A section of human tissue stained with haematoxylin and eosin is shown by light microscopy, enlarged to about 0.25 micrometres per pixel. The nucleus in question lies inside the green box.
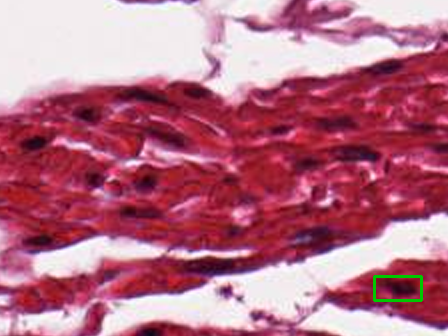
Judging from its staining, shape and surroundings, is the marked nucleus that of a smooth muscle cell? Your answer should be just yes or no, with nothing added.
yes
